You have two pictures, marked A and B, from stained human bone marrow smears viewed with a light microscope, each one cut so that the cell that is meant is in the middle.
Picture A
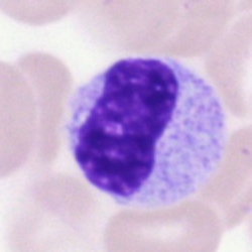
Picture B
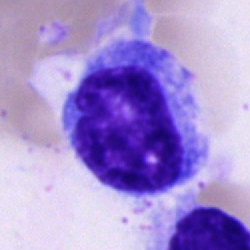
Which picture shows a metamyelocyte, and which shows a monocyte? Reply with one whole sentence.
In picture A the cell is a metamyelocyte; in picture B, a monocyte.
